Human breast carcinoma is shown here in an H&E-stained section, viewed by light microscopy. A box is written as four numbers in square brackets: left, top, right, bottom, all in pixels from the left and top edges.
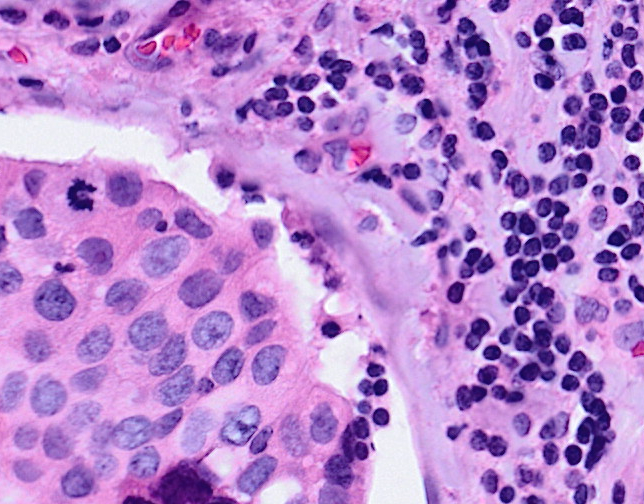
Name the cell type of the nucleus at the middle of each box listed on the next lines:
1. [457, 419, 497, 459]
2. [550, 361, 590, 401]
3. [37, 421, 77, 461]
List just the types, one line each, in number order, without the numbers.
lymphocyte
lymphocyte
carcinoma cell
